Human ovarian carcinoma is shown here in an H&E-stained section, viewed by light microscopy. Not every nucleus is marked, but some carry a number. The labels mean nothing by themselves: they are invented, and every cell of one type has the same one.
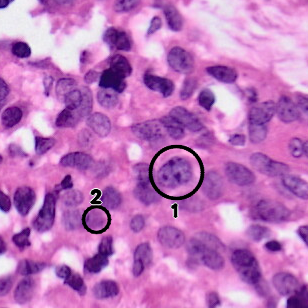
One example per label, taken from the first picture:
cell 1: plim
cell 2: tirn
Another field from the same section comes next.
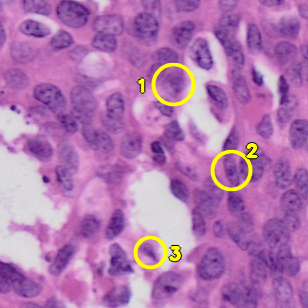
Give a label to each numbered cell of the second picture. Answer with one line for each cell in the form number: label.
1: tirn
2: tirn
3: plim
